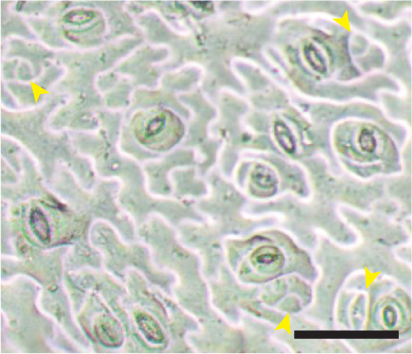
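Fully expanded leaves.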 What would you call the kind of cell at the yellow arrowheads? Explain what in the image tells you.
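The arrowheads point to small rounded cells lacking the central pore of a stoma.
Stomatal precursors.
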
